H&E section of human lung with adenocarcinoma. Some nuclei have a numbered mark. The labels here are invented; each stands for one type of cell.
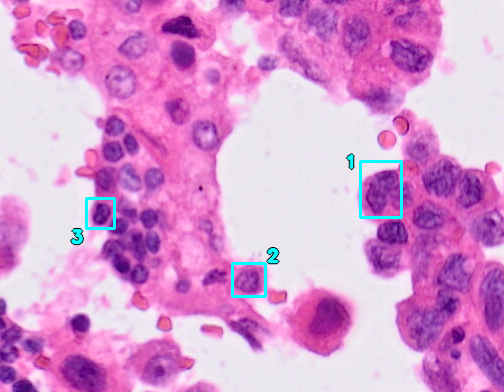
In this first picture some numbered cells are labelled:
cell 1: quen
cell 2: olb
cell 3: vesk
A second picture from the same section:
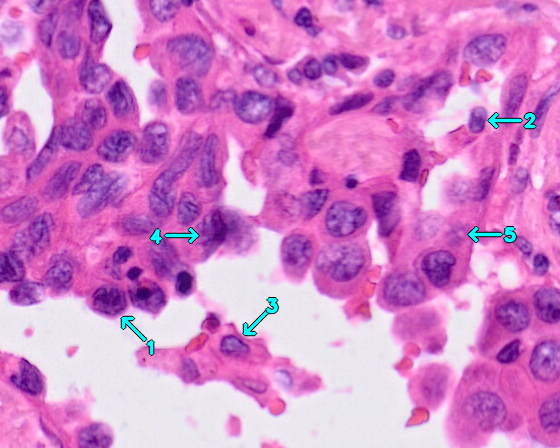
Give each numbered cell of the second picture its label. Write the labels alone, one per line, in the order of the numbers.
quen
vesk
olb
quen
quen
